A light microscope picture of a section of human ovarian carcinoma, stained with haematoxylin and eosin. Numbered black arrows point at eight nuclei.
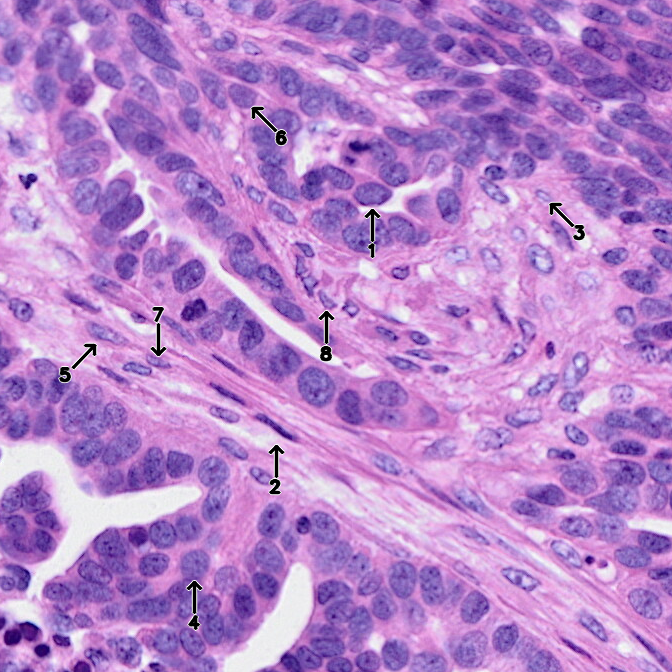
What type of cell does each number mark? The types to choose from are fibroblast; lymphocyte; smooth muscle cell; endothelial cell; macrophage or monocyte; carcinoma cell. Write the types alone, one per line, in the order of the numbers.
carcinoma cell
fibroblast
fibroblast
carcinoma cell
fibroblast
carcinoma cell
fibroblast
fibroblast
